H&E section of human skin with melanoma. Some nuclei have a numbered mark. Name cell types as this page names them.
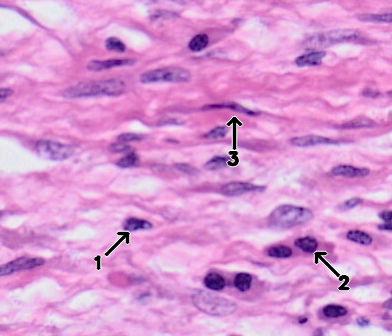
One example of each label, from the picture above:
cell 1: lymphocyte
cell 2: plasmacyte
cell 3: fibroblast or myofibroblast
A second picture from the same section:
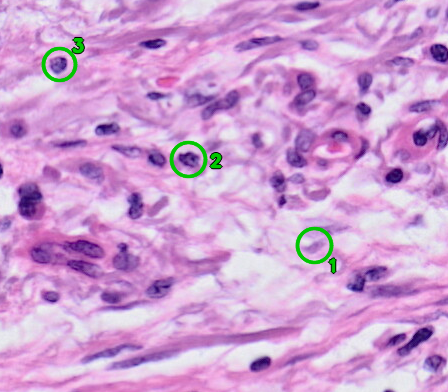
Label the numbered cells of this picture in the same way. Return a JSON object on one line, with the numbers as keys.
{"1": "fibroblast or myofibroblast", "2": "plasmacyte", "3": "lymphocyte"}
